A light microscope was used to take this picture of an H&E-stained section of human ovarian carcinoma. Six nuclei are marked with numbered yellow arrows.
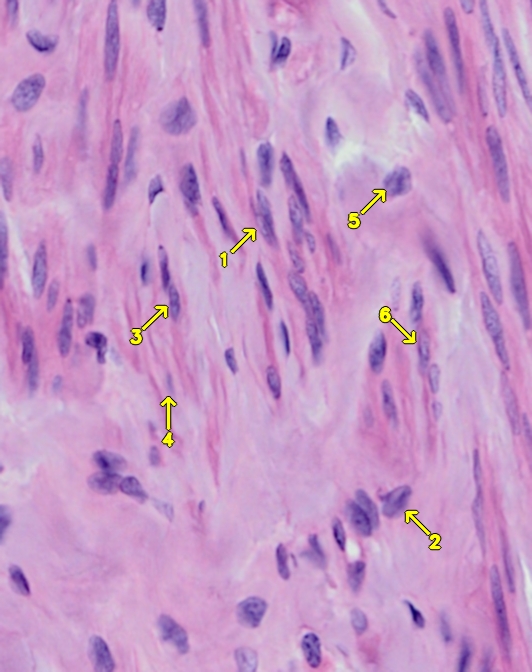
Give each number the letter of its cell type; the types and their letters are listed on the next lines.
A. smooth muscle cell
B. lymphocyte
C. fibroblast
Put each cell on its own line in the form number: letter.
1: A
2: C
3: A
4: A
5: C
6: A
